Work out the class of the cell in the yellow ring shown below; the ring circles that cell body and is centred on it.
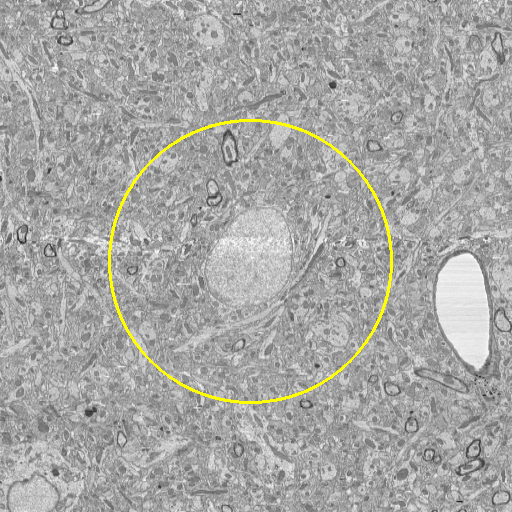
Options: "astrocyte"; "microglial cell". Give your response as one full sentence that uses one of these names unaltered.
The body ringed in yellow, right at the ring's centre, is that of an astrocyte.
